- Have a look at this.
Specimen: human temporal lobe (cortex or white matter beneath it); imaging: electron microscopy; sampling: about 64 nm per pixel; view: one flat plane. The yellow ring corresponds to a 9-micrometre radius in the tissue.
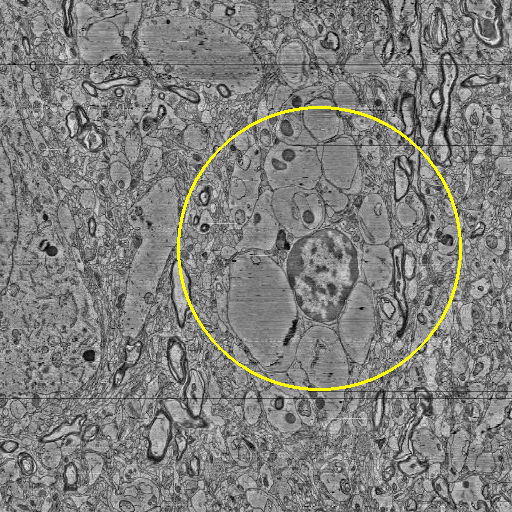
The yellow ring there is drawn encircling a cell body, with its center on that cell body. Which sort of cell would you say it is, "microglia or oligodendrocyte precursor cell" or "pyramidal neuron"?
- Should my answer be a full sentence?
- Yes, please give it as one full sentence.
For this picture, a microglial cell or oligodendrocyte precursor cell is the cell where the yellow ring has its center.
